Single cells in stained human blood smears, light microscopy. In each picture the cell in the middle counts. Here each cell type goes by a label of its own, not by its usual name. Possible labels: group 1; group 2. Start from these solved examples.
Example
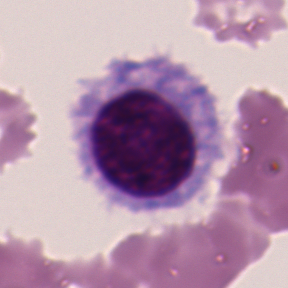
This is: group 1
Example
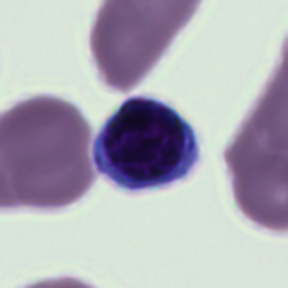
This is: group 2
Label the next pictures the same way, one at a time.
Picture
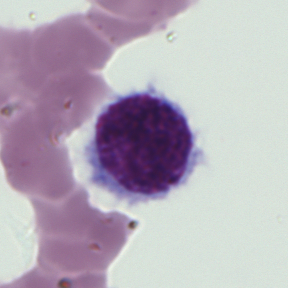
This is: group 1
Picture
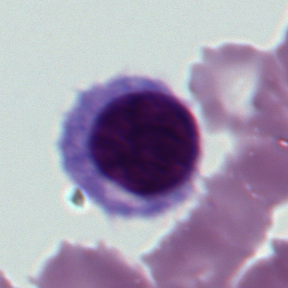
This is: group 1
